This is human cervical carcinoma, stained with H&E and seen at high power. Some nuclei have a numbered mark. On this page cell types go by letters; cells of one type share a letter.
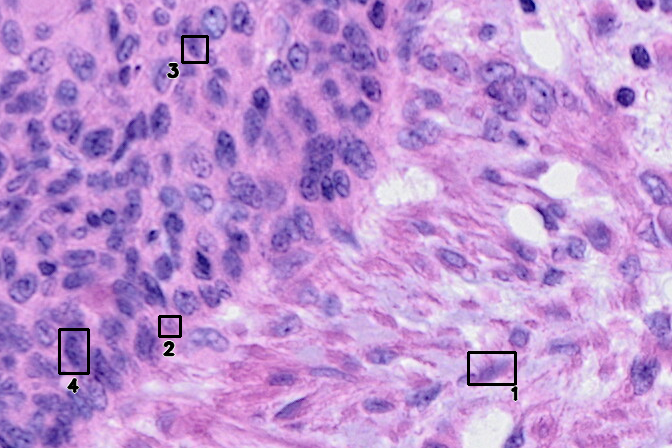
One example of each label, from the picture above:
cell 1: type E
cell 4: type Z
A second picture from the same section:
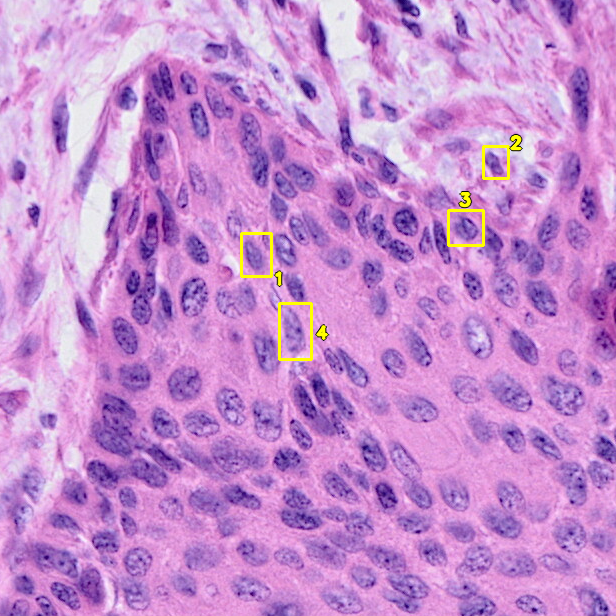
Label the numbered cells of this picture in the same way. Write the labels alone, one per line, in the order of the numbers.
type Z
type E
type Z
type Z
